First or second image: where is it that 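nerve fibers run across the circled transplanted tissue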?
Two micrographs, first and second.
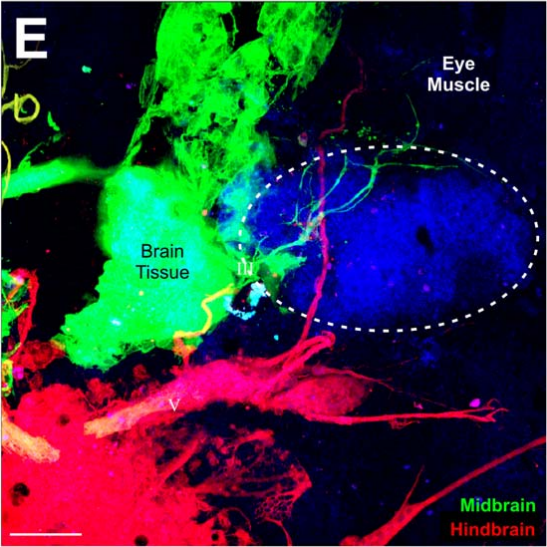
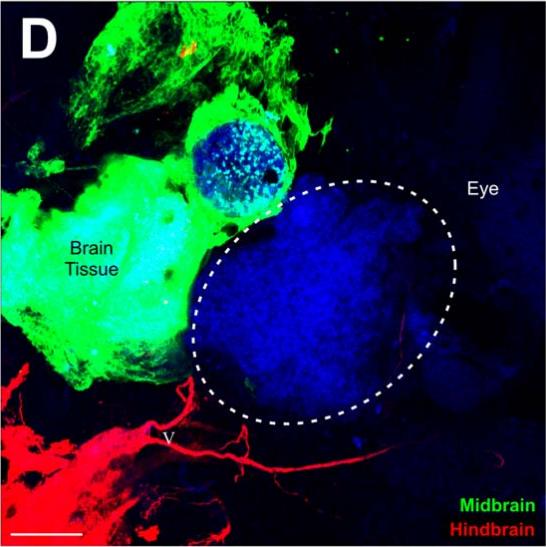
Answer: the first image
